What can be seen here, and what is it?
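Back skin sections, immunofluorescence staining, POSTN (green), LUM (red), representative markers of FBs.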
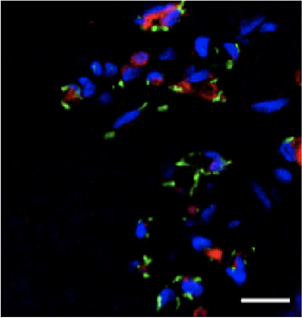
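Green signal forms short, thin dots and streaks that sit right against many of the nuclei. Red signal forms small, irregular patches that also hug some nuclei, often on one side. The cells do not form a continuous sheet or layer, as is typical of cells lying within connective tissue.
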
